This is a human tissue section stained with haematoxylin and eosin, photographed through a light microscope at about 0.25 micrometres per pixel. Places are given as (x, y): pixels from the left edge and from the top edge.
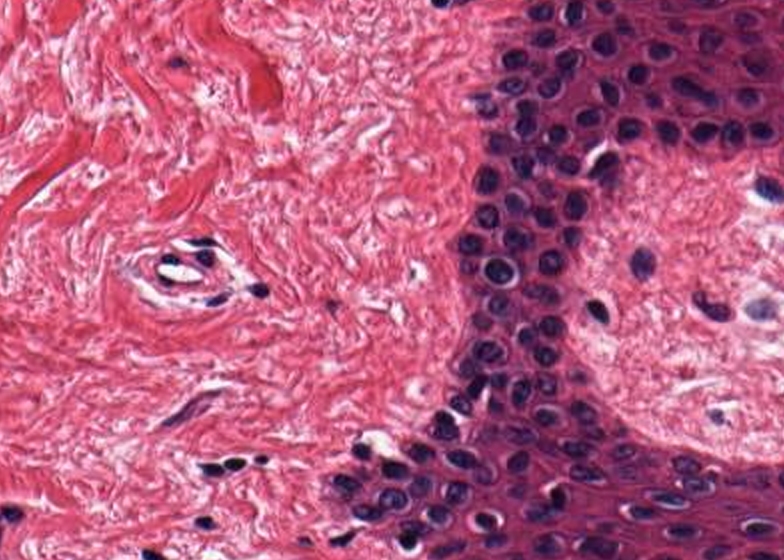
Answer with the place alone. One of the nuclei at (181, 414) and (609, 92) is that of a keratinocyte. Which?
(609, 92)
